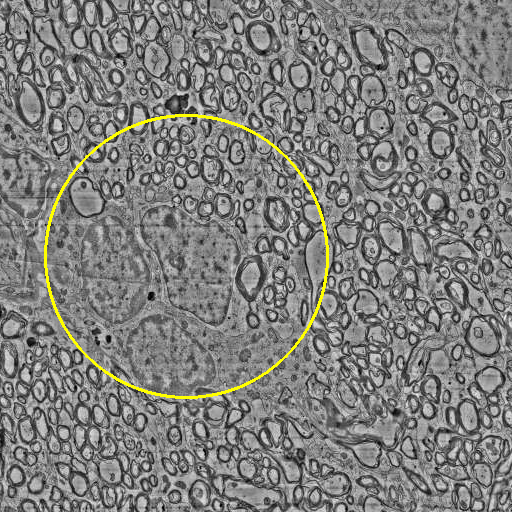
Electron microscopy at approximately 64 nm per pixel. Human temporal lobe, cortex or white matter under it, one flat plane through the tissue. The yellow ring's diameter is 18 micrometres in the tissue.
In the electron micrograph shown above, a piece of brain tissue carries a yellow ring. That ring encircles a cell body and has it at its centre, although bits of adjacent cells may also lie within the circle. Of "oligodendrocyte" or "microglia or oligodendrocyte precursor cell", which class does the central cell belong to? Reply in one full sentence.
The cell body at the centre of the yellow ring belongs to a microglial cell or oligodendrocyte precursor cell.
